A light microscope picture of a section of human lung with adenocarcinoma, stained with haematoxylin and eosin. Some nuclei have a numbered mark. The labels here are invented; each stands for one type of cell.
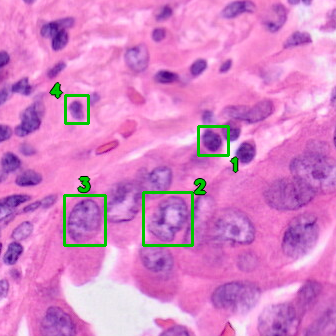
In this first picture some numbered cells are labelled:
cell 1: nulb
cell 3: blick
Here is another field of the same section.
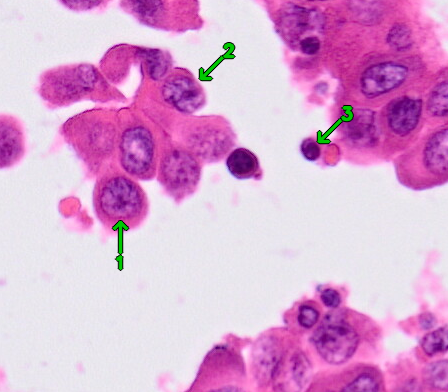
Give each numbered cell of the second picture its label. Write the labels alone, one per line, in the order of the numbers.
blick
blick
nulb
